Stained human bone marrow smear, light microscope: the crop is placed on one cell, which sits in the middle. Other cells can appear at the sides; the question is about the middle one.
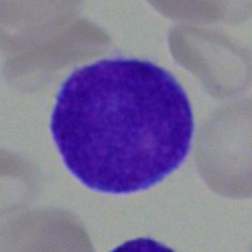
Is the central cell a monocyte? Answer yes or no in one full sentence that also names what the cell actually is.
No, what is seen at the centre is a blast instead of a monocyte.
